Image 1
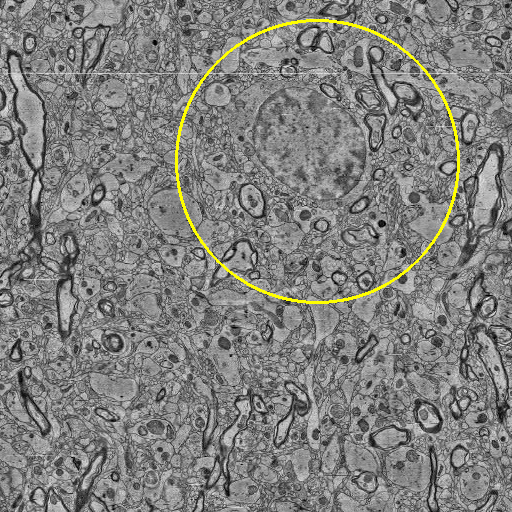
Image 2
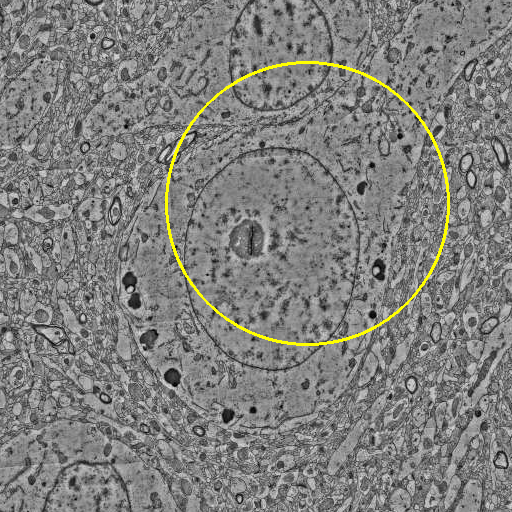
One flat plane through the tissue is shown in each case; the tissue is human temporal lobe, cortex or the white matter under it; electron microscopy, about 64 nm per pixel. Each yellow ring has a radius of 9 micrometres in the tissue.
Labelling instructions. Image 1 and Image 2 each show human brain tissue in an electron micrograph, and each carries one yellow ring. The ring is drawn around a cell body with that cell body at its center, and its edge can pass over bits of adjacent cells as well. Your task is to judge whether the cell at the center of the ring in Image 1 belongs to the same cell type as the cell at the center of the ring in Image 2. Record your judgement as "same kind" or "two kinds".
two kinds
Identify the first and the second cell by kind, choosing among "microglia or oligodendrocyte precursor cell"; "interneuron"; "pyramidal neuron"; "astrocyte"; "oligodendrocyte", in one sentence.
The one in the first picture is an oligodendrocyte, while the one in the second is a pyramidal neuron.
